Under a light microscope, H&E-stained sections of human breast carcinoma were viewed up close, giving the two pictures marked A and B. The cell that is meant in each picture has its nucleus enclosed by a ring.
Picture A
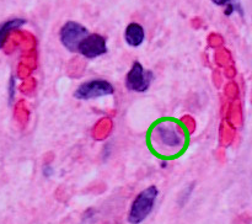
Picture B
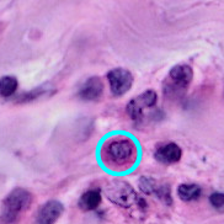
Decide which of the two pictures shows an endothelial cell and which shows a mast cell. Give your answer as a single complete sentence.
The cell in picture A is an endothelial cell, and the one in picture B is a mast cell.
